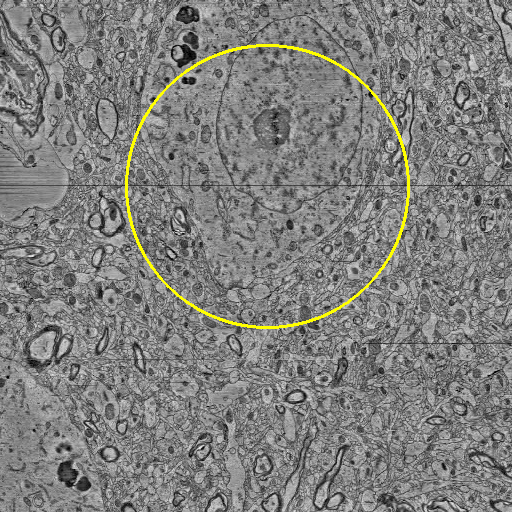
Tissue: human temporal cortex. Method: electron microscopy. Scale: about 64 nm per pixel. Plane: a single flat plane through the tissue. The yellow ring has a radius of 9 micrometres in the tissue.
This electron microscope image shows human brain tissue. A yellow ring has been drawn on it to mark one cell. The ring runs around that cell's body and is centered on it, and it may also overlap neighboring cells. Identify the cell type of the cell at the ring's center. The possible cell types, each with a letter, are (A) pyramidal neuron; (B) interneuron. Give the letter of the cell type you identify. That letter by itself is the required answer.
A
